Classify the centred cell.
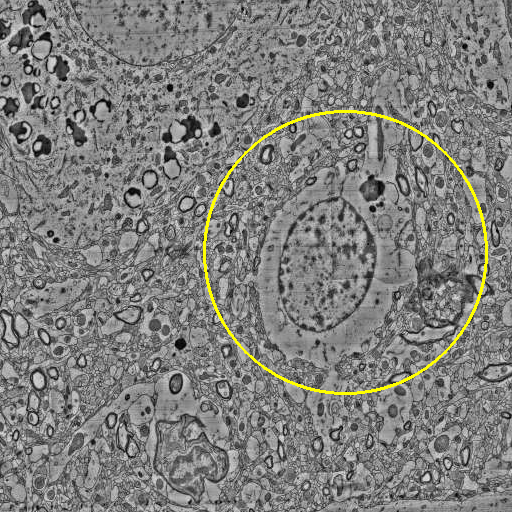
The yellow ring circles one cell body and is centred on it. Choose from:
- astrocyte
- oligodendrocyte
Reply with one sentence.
The ring is centred on an astrocyte.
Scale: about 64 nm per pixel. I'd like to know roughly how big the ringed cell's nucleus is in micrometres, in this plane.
The nucleus comes to roughly 9 by 6 micrometres in this plane.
